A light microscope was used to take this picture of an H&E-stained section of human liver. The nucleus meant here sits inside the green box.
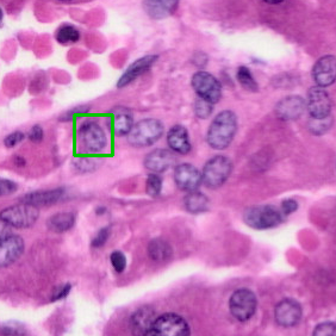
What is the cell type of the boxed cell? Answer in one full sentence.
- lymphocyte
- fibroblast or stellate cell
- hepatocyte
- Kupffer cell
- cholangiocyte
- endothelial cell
What the boxed cell represents is a cholangiocyte.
